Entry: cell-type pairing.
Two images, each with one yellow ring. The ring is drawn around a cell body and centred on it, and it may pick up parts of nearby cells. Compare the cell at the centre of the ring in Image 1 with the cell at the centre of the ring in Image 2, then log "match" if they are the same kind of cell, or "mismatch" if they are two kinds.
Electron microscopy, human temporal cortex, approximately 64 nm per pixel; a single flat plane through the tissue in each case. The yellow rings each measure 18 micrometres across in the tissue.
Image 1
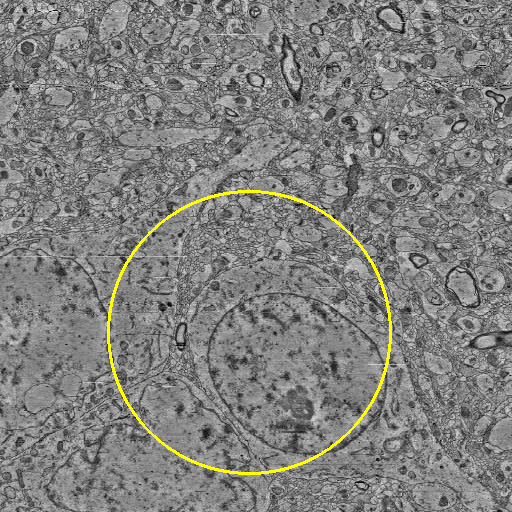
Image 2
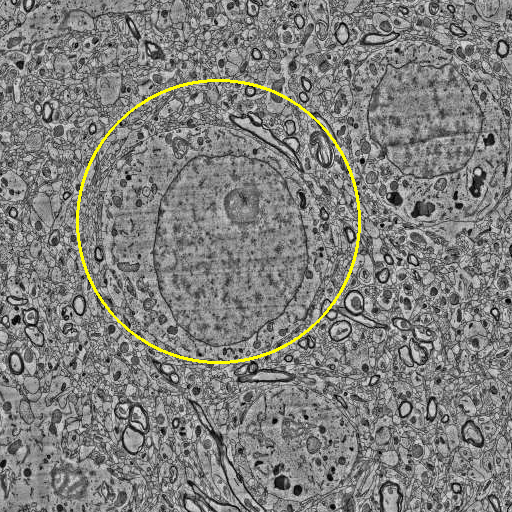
match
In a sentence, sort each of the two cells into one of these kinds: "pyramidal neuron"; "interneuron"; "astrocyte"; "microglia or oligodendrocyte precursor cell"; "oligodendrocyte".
The first and the second cell are each a pyramidal neuron.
